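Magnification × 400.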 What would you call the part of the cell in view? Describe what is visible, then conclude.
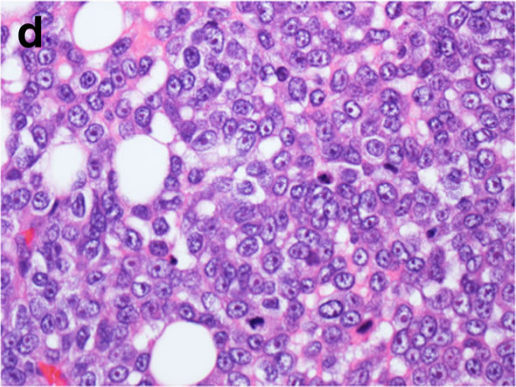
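Prominent eosinophilic nucleoli. Oval nuclei with pale open chromatin.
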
